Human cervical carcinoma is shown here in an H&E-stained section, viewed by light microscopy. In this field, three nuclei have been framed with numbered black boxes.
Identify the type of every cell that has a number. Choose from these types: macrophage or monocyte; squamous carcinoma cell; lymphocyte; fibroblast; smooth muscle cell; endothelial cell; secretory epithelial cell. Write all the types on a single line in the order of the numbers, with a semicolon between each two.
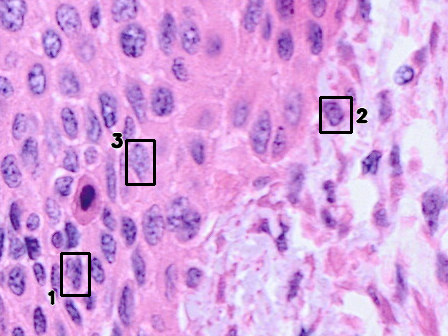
squamous carcinoma cell; macrophage or monocyte; squamous carcinoma cell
